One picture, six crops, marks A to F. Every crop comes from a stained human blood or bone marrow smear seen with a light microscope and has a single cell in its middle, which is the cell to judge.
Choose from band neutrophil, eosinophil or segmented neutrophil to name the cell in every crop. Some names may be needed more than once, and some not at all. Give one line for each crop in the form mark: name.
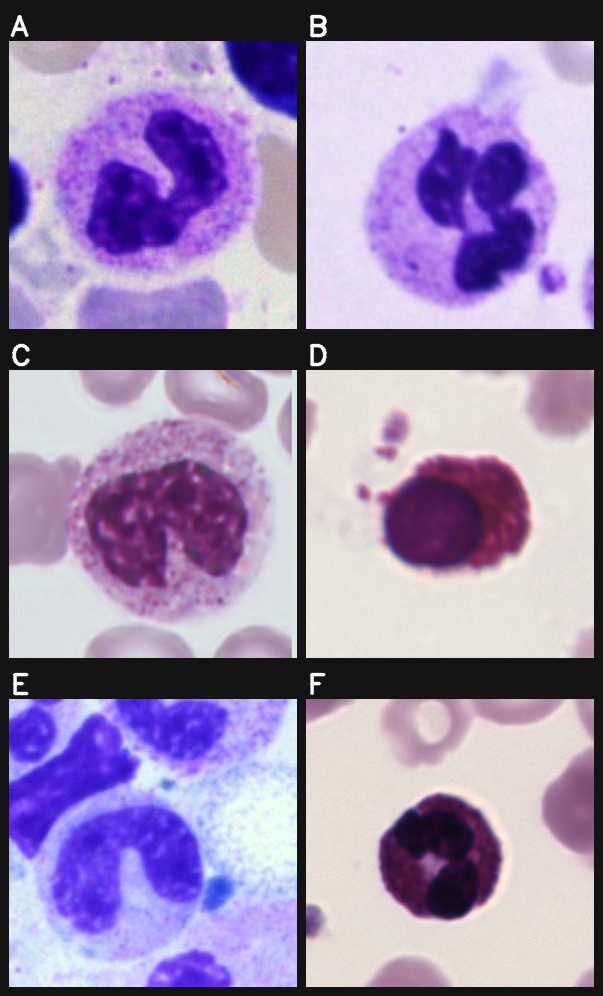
A: segmented neutrophil
B: segmented neutrophil
C: band neutrophil
D: eosinophil
E: band neutrophil
F: eosinophil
